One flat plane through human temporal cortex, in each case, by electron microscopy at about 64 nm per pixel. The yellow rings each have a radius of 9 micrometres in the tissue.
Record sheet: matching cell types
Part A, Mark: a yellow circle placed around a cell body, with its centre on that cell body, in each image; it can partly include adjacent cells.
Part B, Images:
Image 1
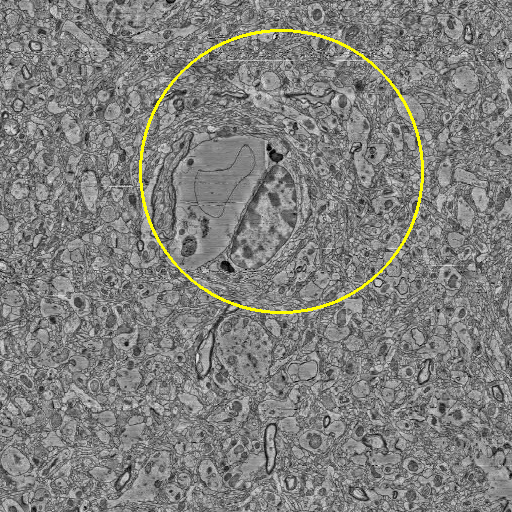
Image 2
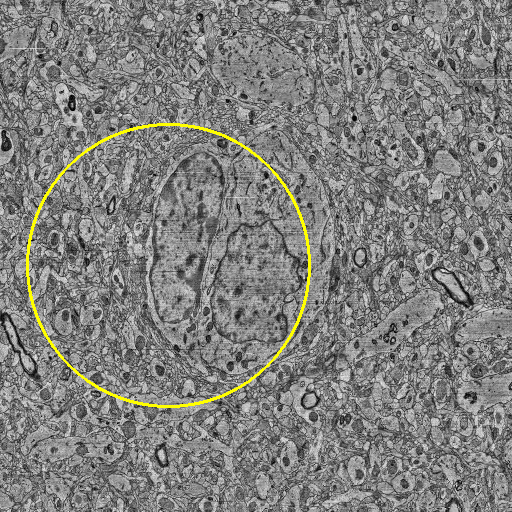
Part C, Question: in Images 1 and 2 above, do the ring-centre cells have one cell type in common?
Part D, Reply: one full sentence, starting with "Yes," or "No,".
Yes, the ring-centre cells of Image 1 and Image 2 are both of a single cell type.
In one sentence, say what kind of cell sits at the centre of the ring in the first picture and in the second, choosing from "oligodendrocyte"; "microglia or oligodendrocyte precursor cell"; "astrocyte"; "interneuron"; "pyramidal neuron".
Each cell, in the first picture and the second, is a microglial cell or oligodendrocyte precursor cell.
